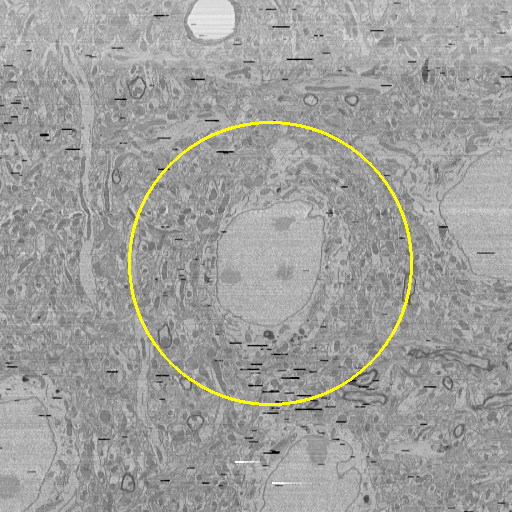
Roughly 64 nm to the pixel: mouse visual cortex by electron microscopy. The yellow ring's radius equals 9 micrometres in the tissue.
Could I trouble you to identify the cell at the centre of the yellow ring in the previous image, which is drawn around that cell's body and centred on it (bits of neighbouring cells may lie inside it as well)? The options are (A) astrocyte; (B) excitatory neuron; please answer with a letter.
B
